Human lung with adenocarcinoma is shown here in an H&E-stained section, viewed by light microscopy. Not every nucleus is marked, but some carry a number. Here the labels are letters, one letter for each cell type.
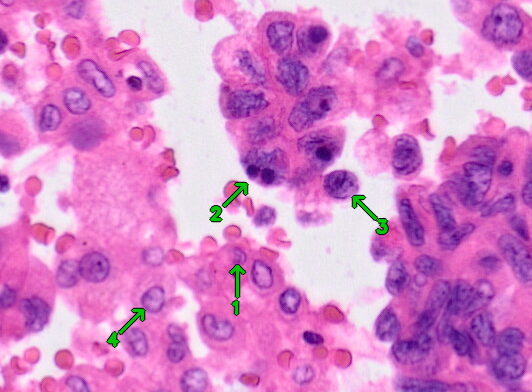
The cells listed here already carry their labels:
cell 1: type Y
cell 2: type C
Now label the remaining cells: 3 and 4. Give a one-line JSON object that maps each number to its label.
{"3": "type C", "4": "type Y"}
